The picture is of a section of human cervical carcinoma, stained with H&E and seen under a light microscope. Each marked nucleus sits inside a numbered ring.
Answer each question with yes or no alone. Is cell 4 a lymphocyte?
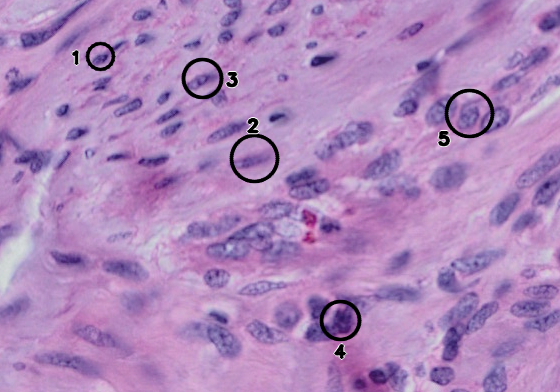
yes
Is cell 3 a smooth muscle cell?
yes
